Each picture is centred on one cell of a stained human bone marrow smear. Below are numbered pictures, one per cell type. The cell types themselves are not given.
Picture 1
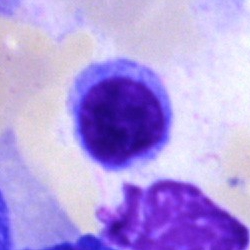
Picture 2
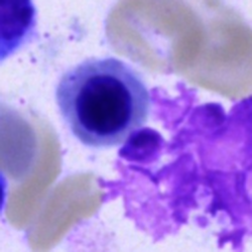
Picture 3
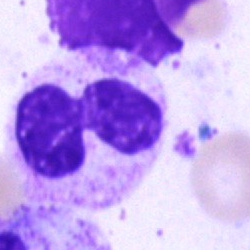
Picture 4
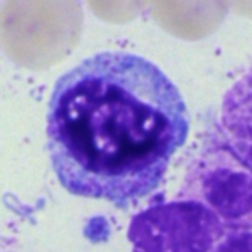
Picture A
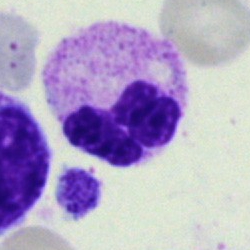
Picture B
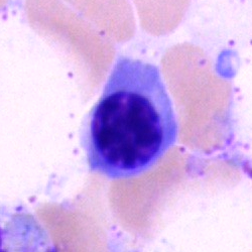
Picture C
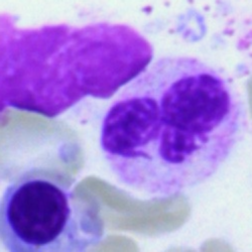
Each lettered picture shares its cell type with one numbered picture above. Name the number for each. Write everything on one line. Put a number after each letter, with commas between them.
A 3, B 2, C 3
